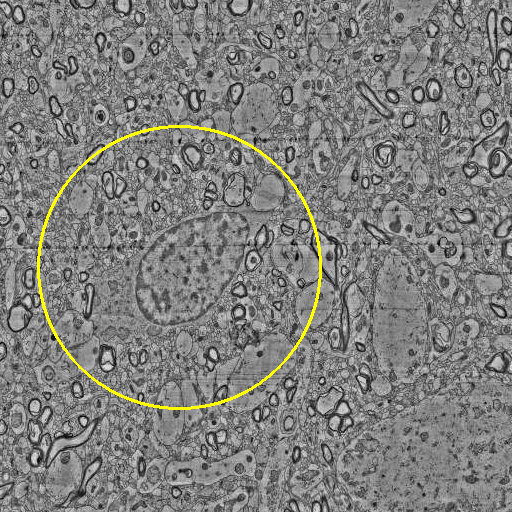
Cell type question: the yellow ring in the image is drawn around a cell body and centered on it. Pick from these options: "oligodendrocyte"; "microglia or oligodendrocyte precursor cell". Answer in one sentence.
The ringed cell at the center is an oligodendrocyte.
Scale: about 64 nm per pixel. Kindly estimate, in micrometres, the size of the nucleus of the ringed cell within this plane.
Clearly longer than it is wide in this plane, the nucleus measures roughly 9 by 5 micrometres.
